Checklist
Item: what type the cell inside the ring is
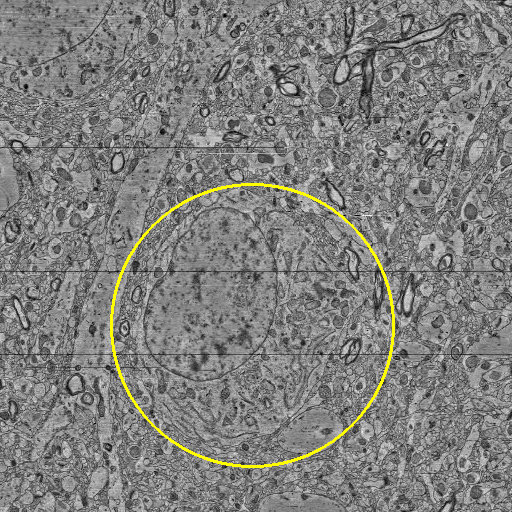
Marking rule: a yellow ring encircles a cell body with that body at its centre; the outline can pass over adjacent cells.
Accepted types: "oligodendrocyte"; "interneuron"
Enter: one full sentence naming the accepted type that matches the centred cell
The entry is that an interneuron lies at the centre of the yellow ring.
